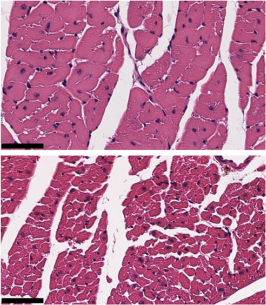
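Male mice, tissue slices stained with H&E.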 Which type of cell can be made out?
cardiomyocyte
